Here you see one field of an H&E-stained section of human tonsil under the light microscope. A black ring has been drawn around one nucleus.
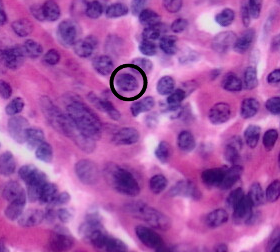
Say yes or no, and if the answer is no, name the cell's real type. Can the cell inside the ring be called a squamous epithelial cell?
No, it is a plasma cell.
